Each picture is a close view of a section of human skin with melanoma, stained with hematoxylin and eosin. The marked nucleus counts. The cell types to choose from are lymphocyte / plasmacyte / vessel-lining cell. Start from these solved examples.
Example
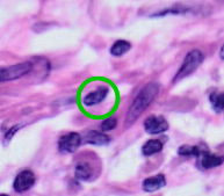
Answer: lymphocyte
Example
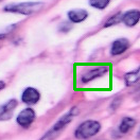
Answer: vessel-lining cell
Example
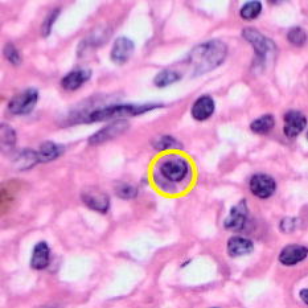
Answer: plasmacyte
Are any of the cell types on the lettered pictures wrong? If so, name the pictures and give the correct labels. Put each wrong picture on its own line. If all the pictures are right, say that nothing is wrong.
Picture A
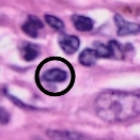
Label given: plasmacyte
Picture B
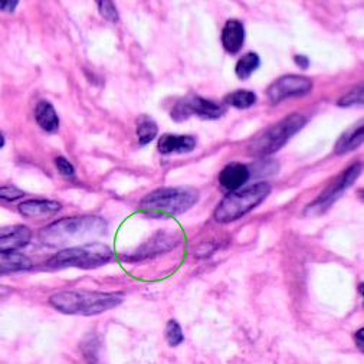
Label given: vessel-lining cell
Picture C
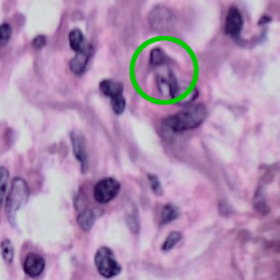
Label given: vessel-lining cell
Wrong: A (plasmacyte); correct: lymphocyte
